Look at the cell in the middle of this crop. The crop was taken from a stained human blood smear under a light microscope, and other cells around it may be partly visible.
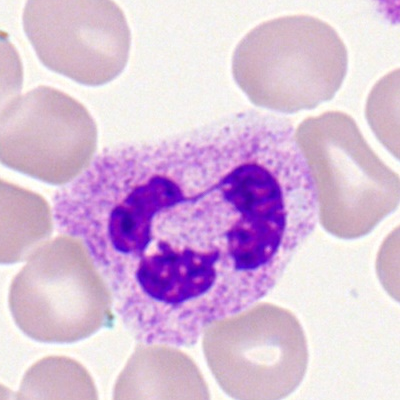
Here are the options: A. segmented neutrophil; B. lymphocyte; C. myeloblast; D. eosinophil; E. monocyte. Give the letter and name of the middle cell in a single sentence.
In this crop the middle cell is a segmented neutrophil, so option A is the correct answer.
